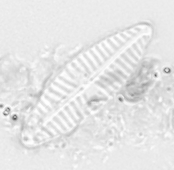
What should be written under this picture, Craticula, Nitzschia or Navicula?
Navicula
